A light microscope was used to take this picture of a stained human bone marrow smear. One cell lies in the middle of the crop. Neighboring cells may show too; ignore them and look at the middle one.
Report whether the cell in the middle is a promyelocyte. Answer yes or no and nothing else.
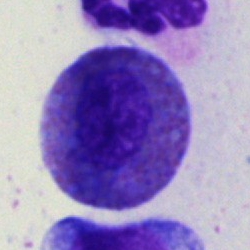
no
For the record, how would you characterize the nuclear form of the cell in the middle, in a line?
A single compact nucleus, round, oval or kidney-shaped, is what this cell shows.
